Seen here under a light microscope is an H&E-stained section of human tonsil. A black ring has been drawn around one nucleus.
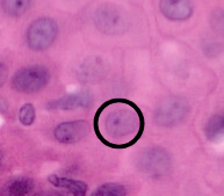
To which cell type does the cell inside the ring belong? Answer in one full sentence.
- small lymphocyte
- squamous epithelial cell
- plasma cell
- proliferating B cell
In this section of tissue, the cell inside the ring is a squamous epithelial cell.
